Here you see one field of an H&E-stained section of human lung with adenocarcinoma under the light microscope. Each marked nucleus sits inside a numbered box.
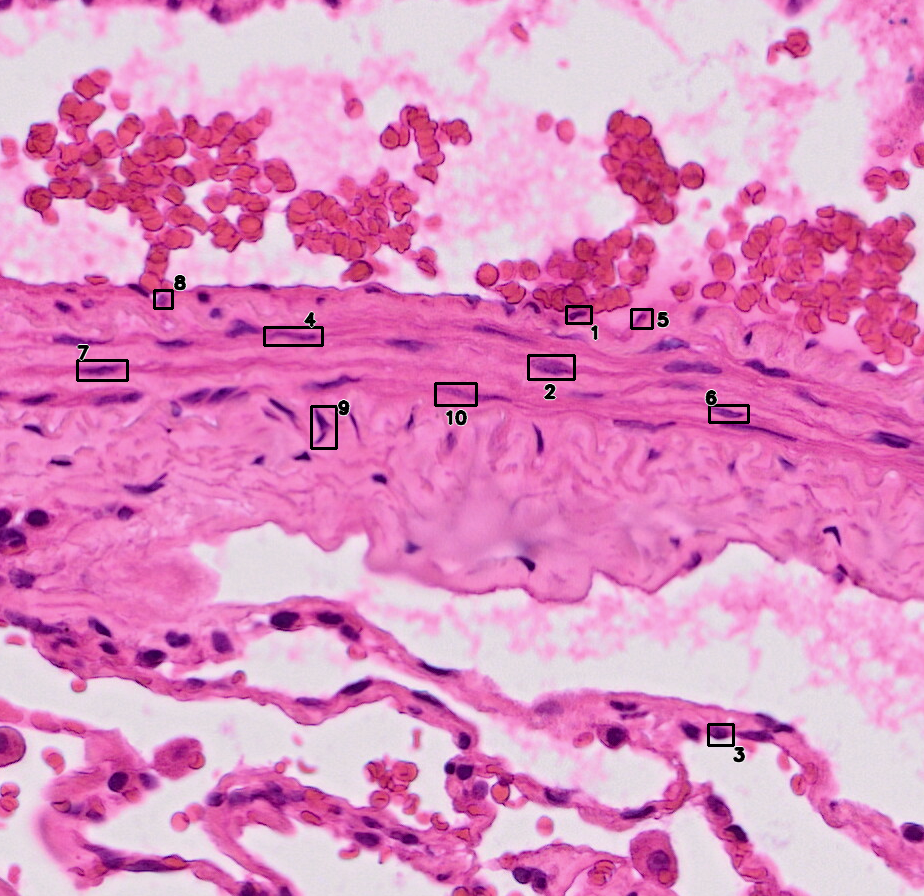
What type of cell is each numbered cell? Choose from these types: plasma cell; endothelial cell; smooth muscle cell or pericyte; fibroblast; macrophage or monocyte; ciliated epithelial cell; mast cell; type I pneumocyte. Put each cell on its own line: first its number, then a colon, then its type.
1: endothelial cell
2: smooth muscle cell or pericyte
3: type I pneumocyte
4: smooth muscle cell or pericyte
5: endothelial cell
6: smooth muscle cell or pericyte
7: smooth muscle cell or pericyte
8: endothelial cell
9: fibroblast
10: smooth muscle cell or pericyte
